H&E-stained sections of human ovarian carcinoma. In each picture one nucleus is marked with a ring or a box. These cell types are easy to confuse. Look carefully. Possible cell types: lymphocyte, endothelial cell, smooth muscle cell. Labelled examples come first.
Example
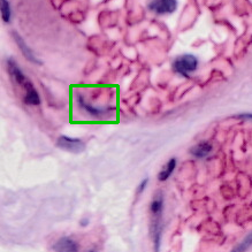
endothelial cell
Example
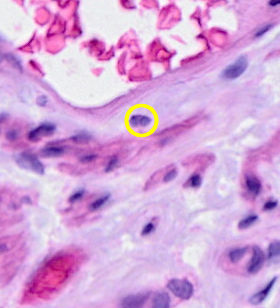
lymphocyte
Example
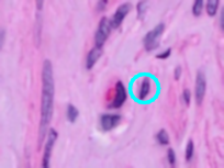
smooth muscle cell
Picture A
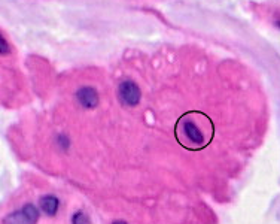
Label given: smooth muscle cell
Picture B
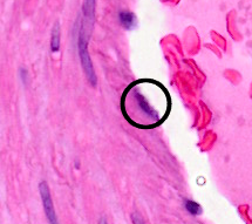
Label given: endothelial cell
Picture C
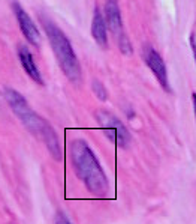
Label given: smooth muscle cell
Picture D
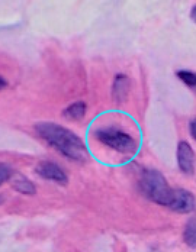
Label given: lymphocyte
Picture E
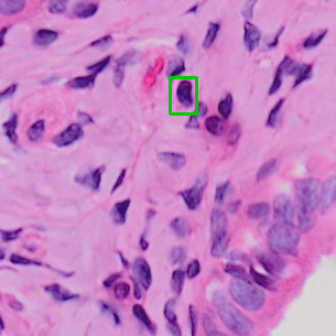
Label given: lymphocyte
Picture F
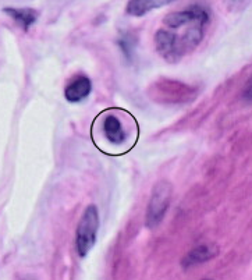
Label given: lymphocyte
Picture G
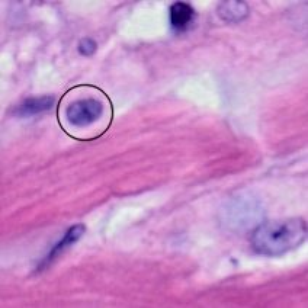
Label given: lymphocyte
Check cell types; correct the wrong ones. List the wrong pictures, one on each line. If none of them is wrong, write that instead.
D: change lymphocyte to smooth muscle cell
